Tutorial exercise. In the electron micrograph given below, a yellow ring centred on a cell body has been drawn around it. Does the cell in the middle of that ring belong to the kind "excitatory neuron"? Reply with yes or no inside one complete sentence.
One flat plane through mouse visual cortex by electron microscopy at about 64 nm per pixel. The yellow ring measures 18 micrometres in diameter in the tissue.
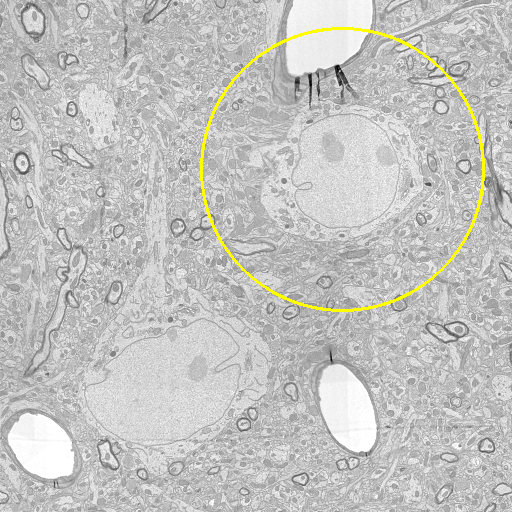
Yes, the cell at the centre of the ring in the picture is of that kind.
